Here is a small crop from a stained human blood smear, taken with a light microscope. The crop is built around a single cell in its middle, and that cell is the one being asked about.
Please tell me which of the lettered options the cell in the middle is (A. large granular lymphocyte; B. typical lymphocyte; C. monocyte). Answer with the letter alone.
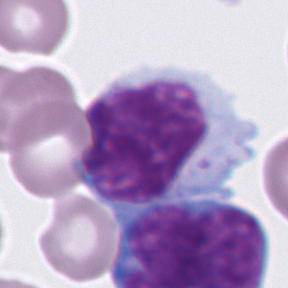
A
